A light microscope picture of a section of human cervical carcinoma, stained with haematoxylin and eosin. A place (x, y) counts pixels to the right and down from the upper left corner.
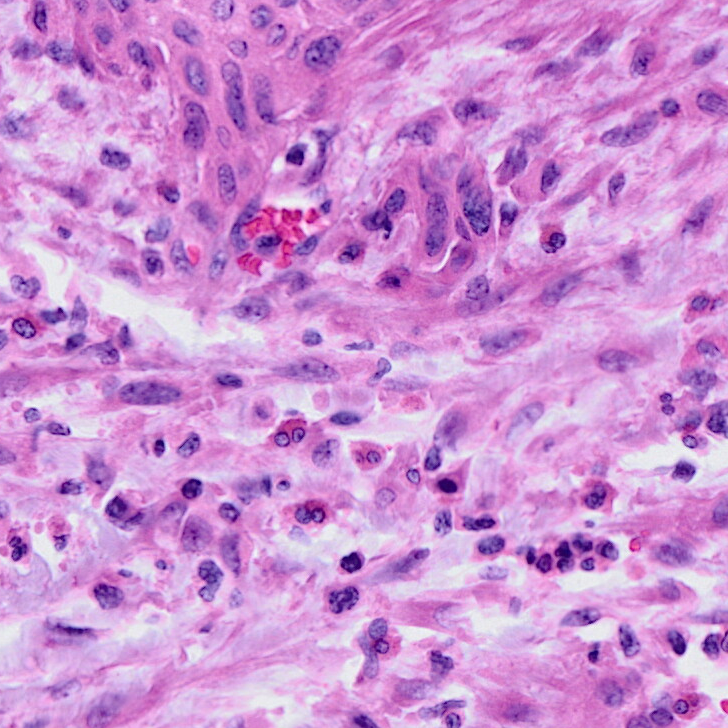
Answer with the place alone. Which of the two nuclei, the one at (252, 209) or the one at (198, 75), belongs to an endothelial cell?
(252, 209)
